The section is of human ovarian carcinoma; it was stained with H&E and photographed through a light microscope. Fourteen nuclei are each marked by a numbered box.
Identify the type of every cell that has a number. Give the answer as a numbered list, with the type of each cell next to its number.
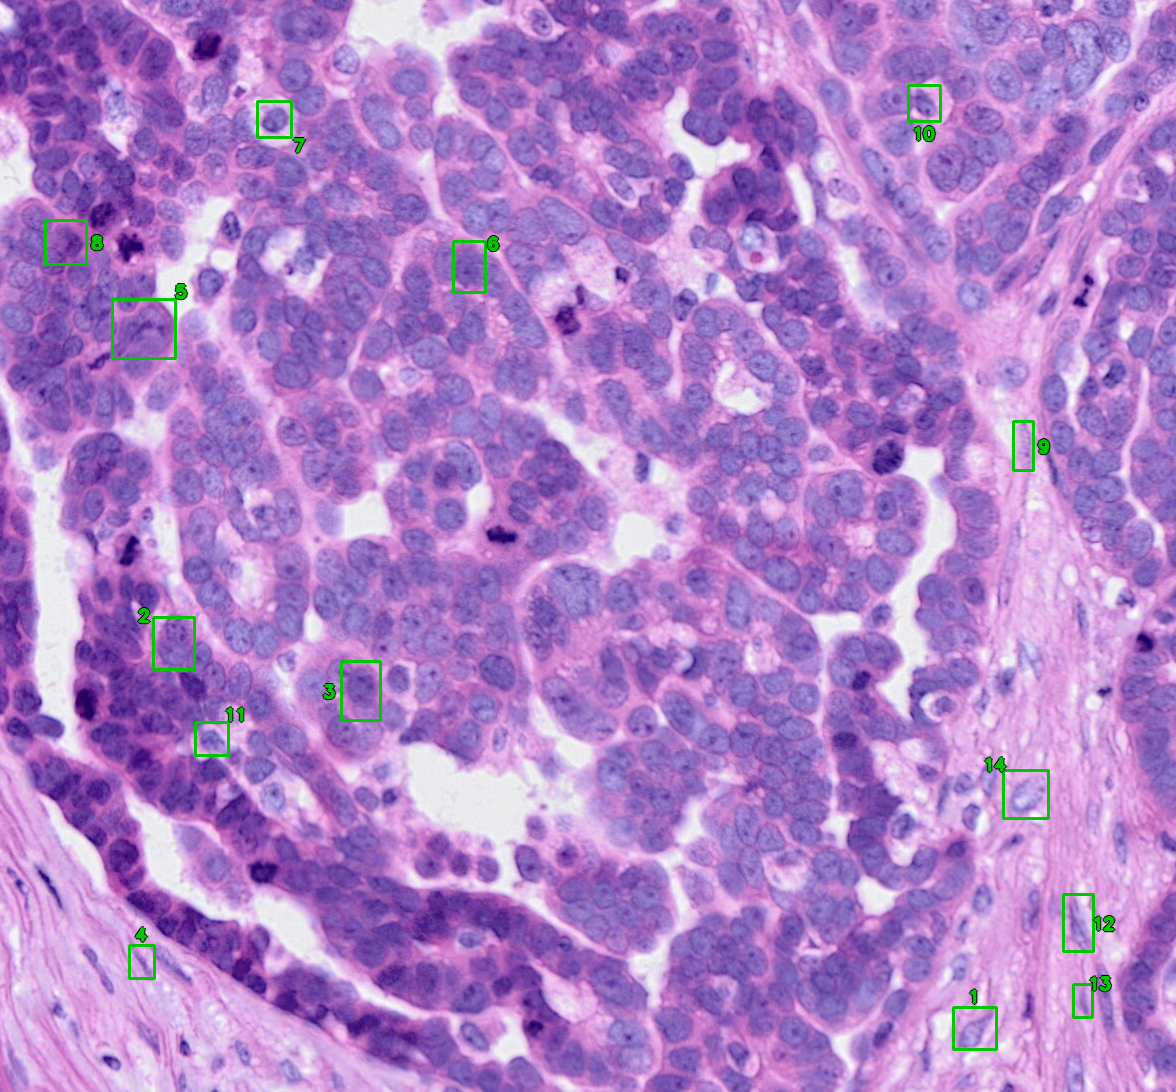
1. fibroblast
2. carcinoma cell
3. carcinoma cell
4. fibroblast
5. carcinoma cell
6. carcinoma cell
7. macrophage or monocyte
8. carcinoma cell
9. fibroblast
10. macrophage or monocyte
11. macrophage or monocyte
12. fibroblast
13. fibroblast
14. fibroblast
